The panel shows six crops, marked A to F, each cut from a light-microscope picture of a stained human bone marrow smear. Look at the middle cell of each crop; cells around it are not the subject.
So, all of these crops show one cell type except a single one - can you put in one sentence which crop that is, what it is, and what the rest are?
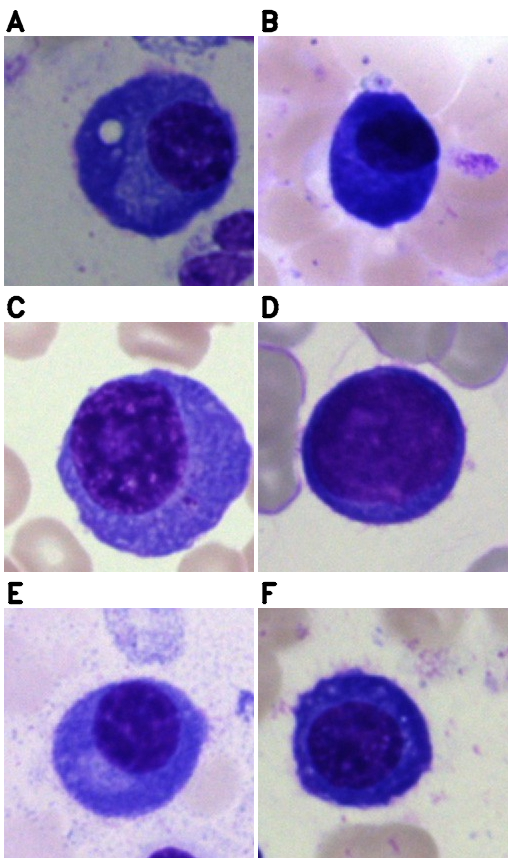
Here the outlier is crop D, which is a proerythroblast, and the rest are plasma cells.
